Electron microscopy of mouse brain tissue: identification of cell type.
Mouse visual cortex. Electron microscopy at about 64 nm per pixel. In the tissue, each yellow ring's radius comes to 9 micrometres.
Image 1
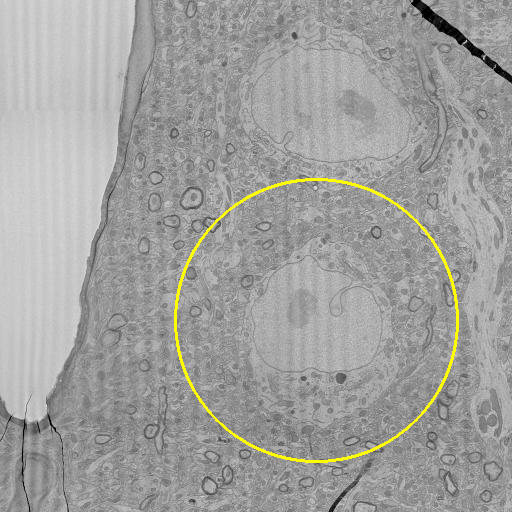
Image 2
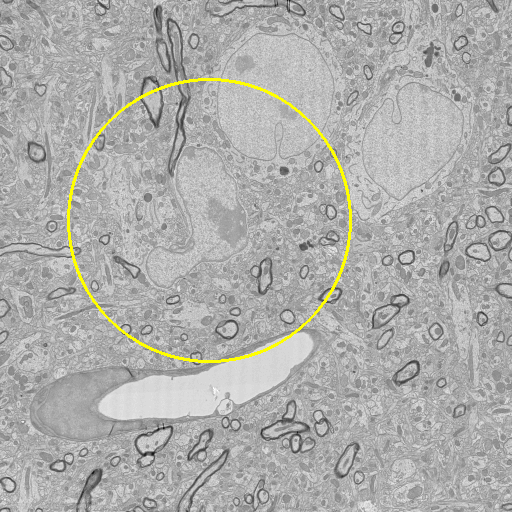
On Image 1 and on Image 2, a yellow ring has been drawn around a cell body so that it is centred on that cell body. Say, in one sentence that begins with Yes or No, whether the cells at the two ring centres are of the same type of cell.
No, the two cells are two separate types of cell.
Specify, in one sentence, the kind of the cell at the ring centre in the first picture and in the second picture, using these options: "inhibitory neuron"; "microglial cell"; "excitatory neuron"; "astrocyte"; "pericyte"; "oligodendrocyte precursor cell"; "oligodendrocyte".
So the first is an excitatory neuron, the second an oligodendrocyte precursor cell.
